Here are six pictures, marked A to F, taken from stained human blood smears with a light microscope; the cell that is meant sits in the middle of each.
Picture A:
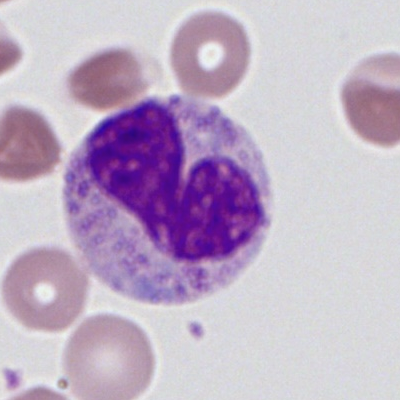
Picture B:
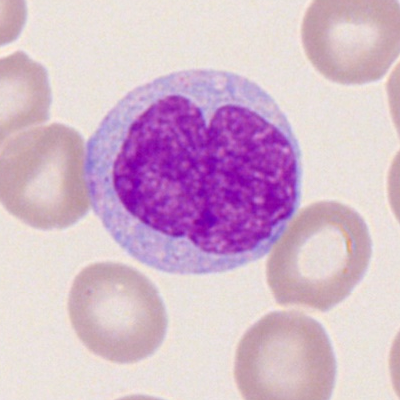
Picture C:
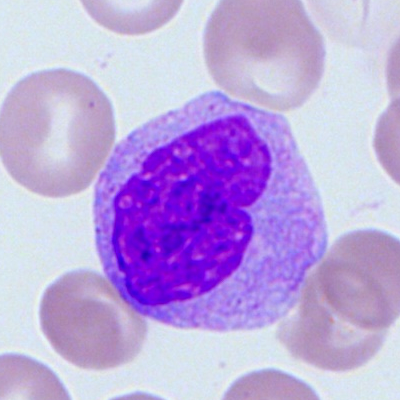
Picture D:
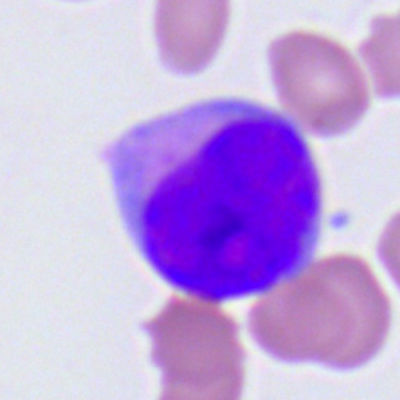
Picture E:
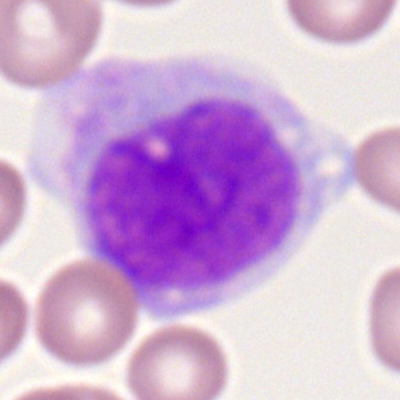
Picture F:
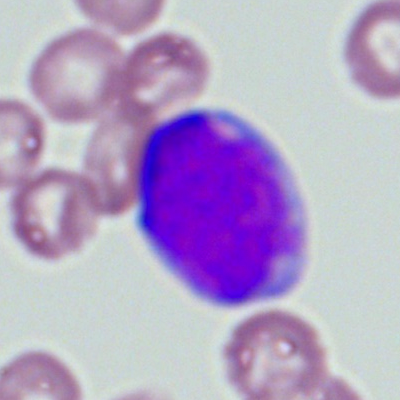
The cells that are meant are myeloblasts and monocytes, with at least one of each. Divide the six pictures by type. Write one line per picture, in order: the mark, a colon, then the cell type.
A: monocyte
B: monocyte
C: monocyte
D: myeloblast
E: myeloblast
F: myeloblast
